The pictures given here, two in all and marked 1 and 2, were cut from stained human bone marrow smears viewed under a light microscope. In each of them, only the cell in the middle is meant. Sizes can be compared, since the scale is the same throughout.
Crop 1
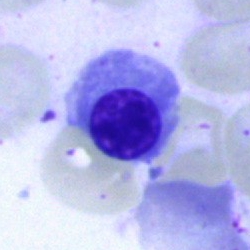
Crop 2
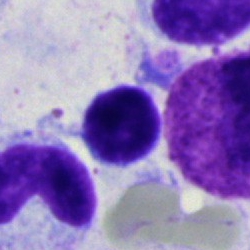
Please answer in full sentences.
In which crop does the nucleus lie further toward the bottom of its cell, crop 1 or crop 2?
It is the nucleus in crop 1 that lies further toward the bottom of its cell.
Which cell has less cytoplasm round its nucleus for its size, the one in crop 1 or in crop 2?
The nucleus fills more of the cell in crop 2 than in crop 1.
